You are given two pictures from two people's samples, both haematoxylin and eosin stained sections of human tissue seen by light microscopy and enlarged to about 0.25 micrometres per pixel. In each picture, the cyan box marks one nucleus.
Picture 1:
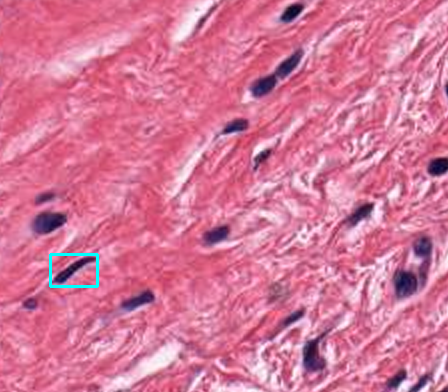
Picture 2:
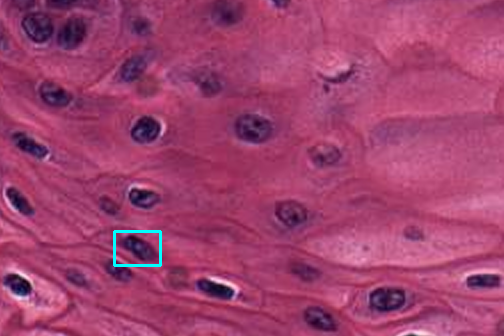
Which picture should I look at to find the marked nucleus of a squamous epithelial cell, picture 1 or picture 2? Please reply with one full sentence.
The marked nucleus belongs to a squamous epithelial cell in picture 2 but not in the other picture.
